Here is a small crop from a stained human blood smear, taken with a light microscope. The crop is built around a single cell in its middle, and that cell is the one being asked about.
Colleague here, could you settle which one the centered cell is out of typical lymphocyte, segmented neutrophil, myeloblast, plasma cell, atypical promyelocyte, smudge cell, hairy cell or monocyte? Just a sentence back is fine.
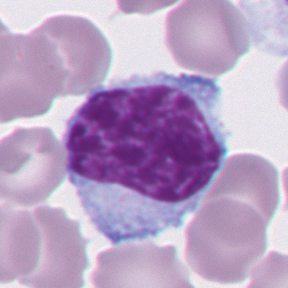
The middle of this crop holds a monocyte.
